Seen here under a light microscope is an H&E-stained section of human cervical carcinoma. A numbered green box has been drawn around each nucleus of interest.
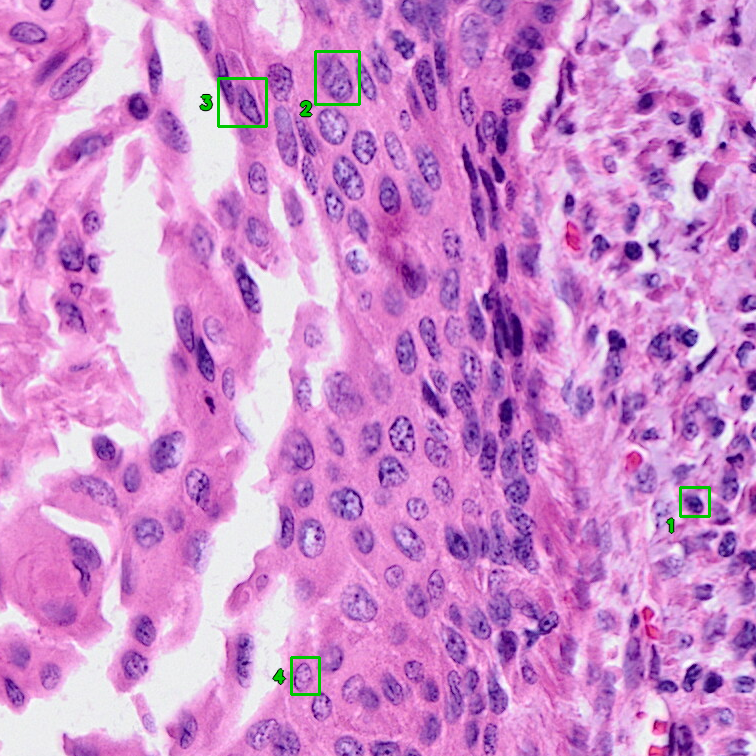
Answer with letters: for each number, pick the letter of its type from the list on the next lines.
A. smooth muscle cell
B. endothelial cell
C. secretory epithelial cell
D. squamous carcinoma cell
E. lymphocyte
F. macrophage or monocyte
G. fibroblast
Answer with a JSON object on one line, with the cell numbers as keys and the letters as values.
{"1": "E", "2": "D", "3": "D", "4": "D"}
